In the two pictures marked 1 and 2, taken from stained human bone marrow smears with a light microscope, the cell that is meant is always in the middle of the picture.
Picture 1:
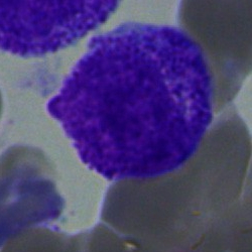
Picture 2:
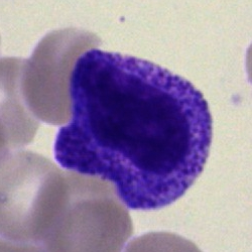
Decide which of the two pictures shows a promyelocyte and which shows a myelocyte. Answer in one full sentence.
Picture 1 is of a myelocyte, and picture 2 is of a promyelocyte.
